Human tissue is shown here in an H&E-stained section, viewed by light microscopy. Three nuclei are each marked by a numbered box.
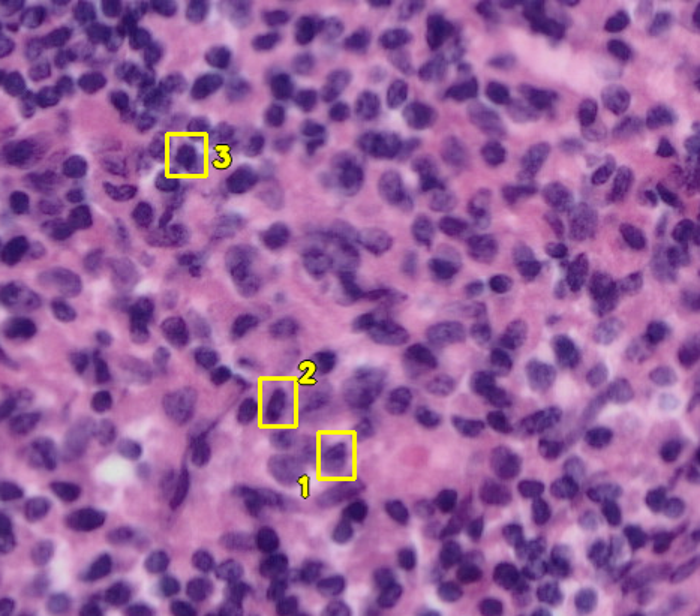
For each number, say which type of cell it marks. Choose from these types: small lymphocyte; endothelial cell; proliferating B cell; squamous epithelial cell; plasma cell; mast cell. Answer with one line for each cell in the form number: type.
1: squamous epithelial cell
2: plasma cell
3: small lymphocyte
